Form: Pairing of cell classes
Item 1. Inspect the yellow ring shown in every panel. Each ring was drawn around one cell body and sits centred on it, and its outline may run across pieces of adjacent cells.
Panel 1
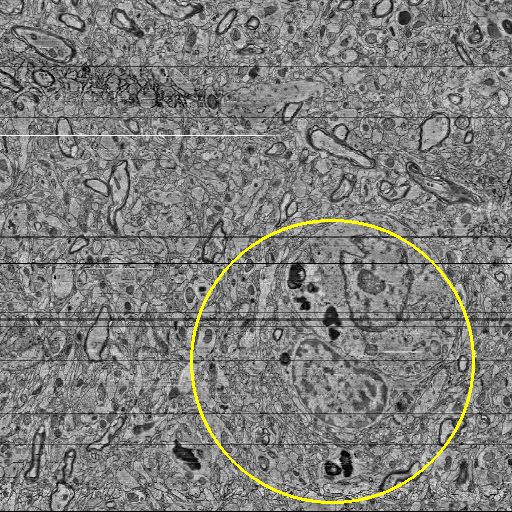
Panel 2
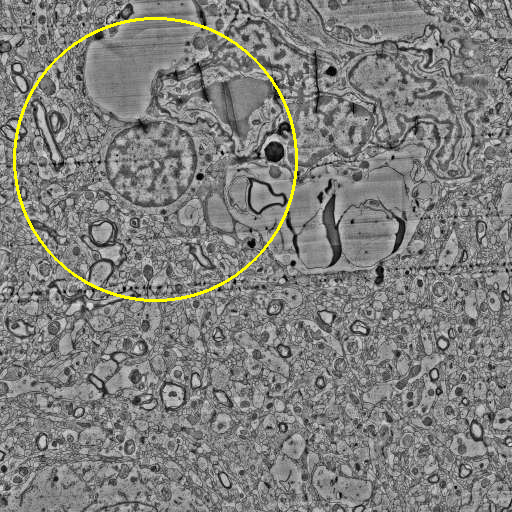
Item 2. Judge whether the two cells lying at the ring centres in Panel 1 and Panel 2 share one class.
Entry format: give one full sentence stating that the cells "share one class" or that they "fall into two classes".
The cells at the ring centres in Panel 1 and Panel 2 fall into two classes.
